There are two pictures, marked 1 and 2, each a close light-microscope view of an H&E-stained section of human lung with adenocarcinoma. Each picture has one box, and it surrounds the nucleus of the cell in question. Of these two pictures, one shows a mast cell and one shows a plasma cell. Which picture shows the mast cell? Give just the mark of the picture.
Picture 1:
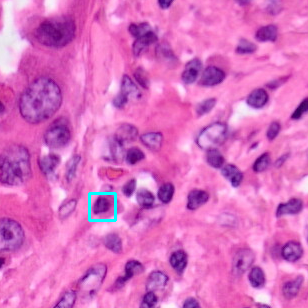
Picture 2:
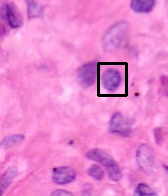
2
